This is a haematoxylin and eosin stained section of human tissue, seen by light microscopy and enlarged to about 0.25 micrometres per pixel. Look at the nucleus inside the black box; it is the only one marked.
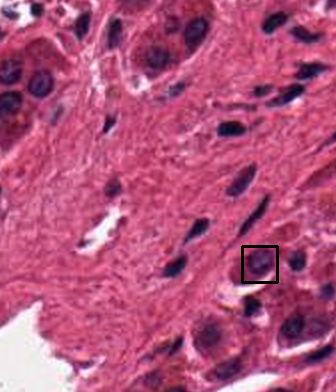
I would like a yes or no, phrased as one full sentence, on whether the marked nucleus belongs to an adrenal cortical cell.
Yes, the marked nucleus is found within an adrenal cortical cell.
